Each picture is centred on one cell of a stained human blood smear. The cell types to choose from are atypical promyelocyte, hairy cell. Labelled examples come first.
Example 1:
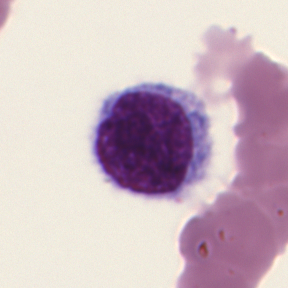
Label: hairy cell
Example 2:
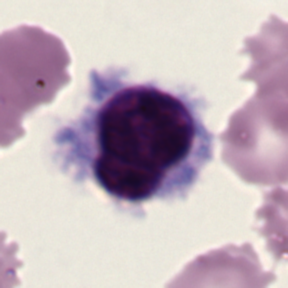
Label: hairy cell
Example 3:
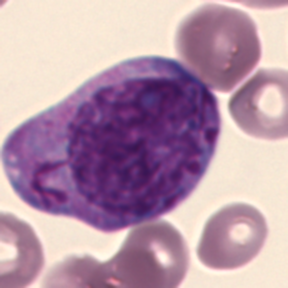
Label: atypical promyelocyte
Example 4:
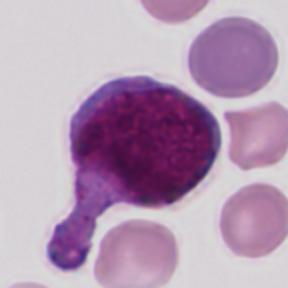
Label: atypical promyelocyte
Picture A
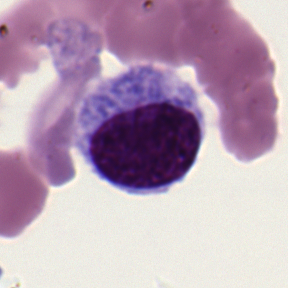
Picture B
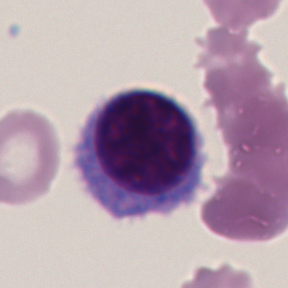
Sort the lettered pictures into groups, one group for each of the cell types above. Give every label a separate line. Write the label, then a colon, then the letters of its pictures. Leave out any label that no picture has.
hairy cell: A, B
